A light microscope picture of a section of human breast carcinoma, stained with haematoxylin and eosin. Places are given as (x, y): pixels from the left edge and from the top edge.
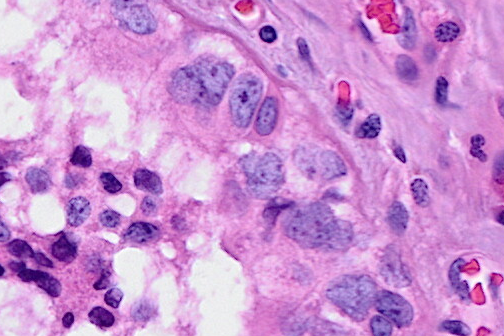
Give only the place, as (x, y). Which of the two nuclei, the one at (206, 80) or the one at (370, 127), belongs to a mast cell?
(370, 127)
